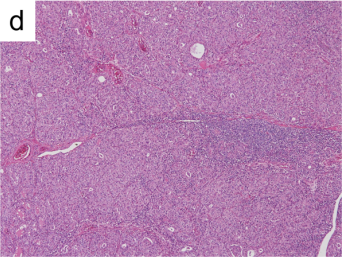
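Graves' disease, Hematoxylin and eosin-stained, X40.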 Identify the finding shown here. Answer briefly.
Small thyroid follicles.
